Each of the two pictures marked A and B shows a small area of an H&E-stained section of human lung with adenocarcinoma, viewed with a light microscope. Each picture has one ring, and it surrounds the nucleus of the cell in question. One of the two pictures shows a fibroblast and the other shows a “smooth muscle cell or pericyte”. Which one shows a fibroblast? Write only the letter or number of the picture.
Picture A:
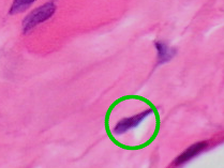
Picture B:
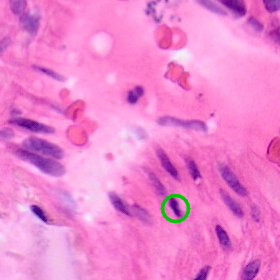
A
